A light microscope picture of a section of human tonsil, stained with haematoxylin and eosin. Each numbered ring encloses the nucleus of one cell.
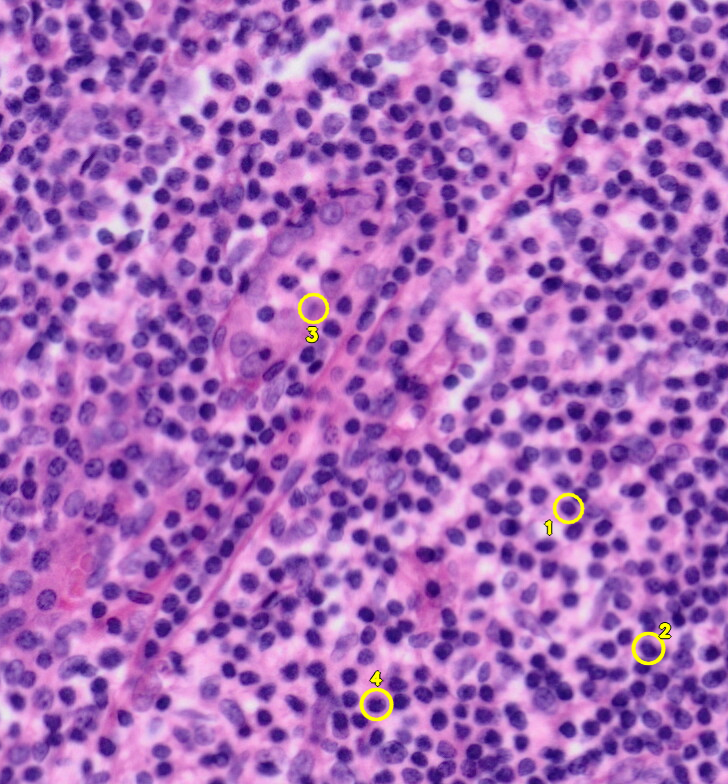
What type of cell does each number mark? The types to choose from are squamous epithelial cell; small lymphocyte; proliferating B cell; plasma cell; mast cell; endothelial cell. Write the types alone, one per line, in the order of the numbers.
small lymphocyte
small lymphocyte
endothelial cell
small lymphocyte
